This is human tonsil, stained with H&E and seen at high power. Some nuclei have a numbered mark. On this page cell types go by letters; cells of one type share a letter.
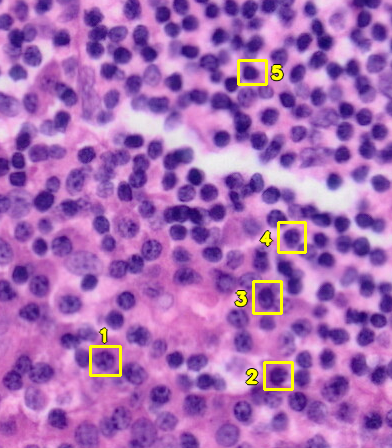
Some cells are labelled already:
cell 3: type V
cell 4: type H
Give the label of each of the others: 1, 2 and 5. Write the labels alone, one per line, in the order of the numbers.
type V
type V
type H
